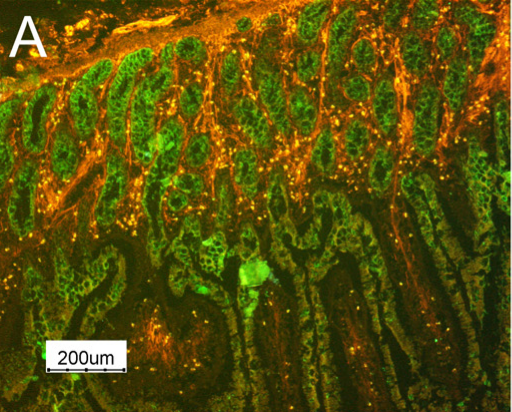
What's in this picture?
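This is a section of small intestine in which the epithelium of the glands shines green, cut as rows of rounded and elongated tubes. Between the glands the connective tissue is stained orange, with many small bright orange dots scattered through it, and toward the top edge lies a broader band of orange tissue.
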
